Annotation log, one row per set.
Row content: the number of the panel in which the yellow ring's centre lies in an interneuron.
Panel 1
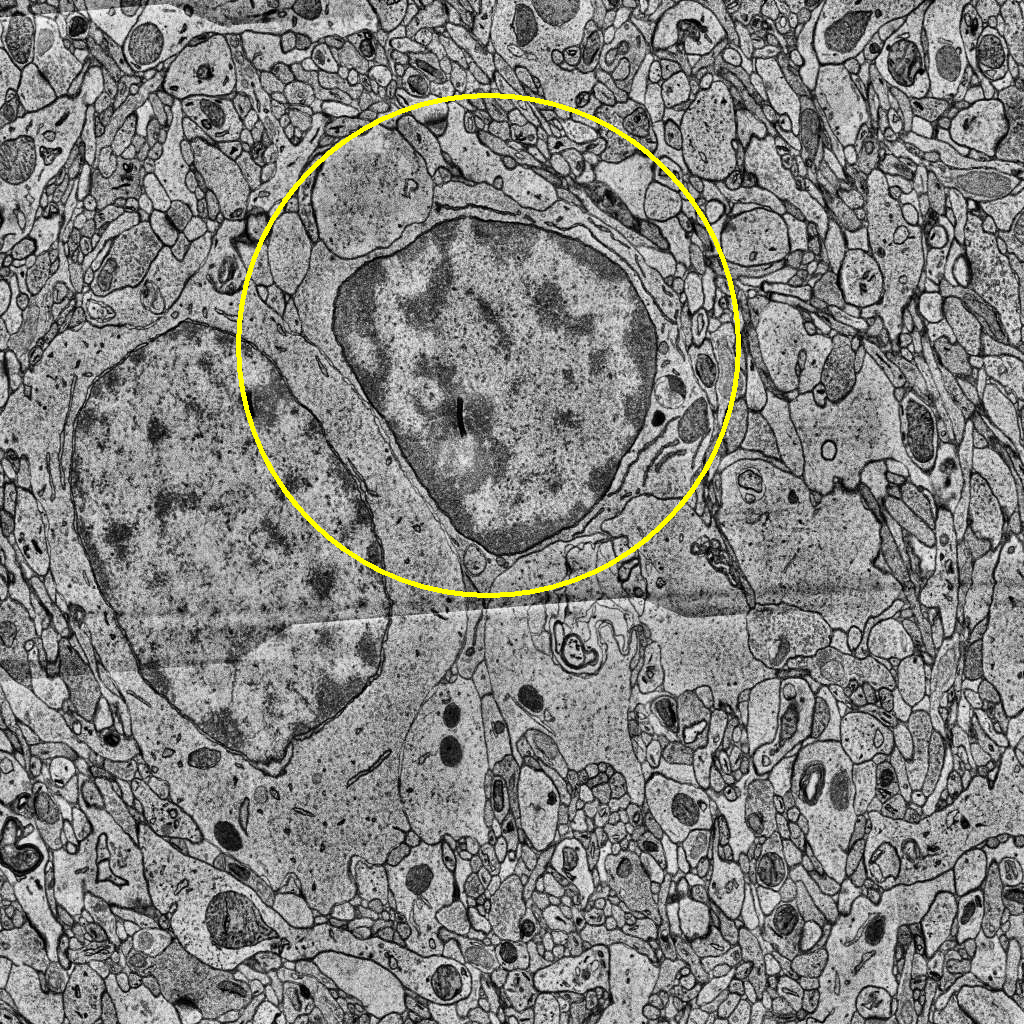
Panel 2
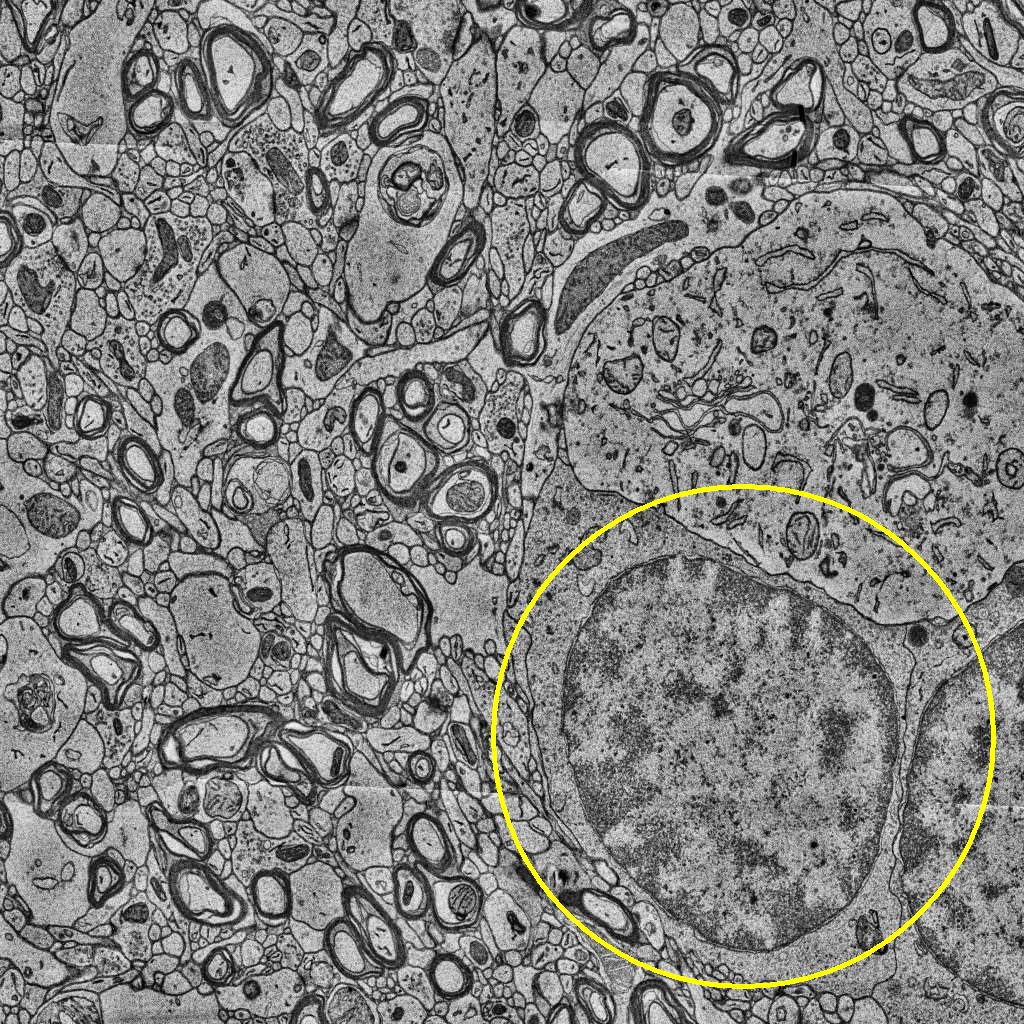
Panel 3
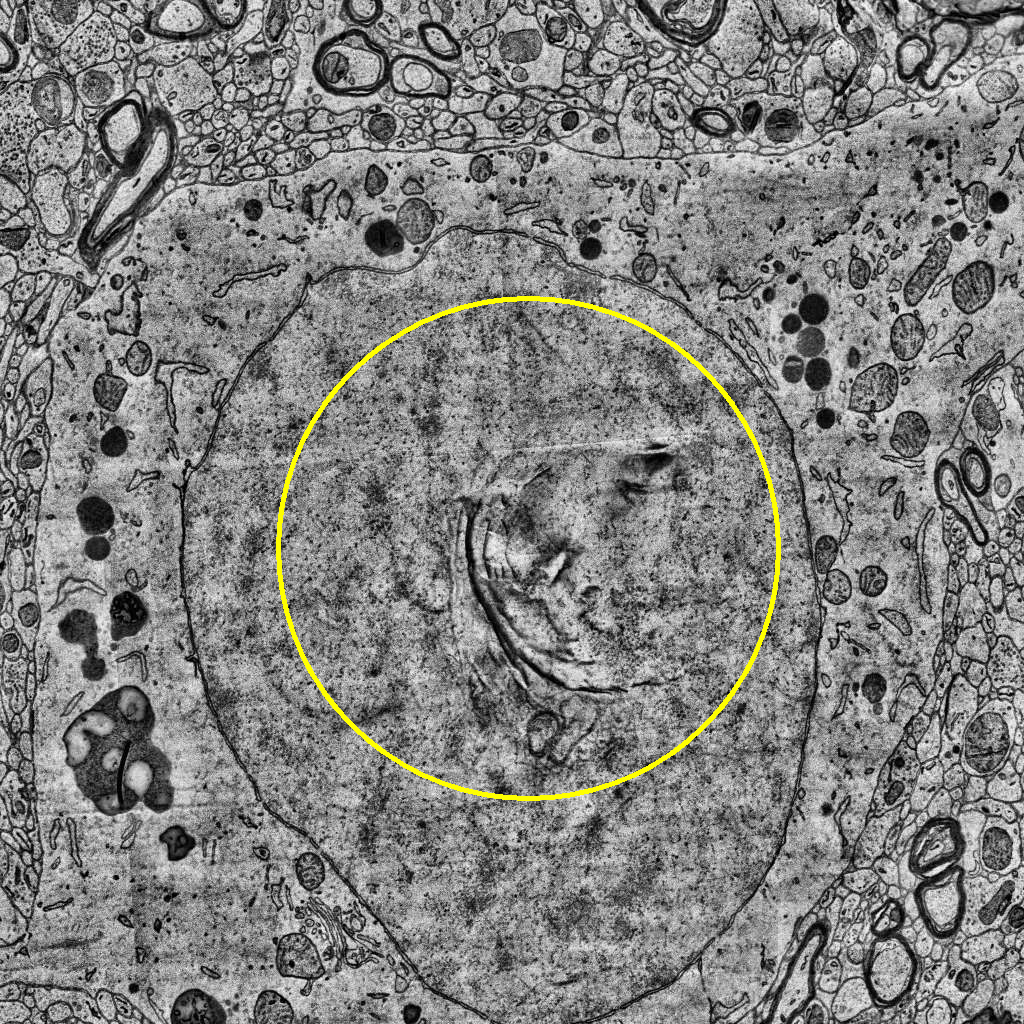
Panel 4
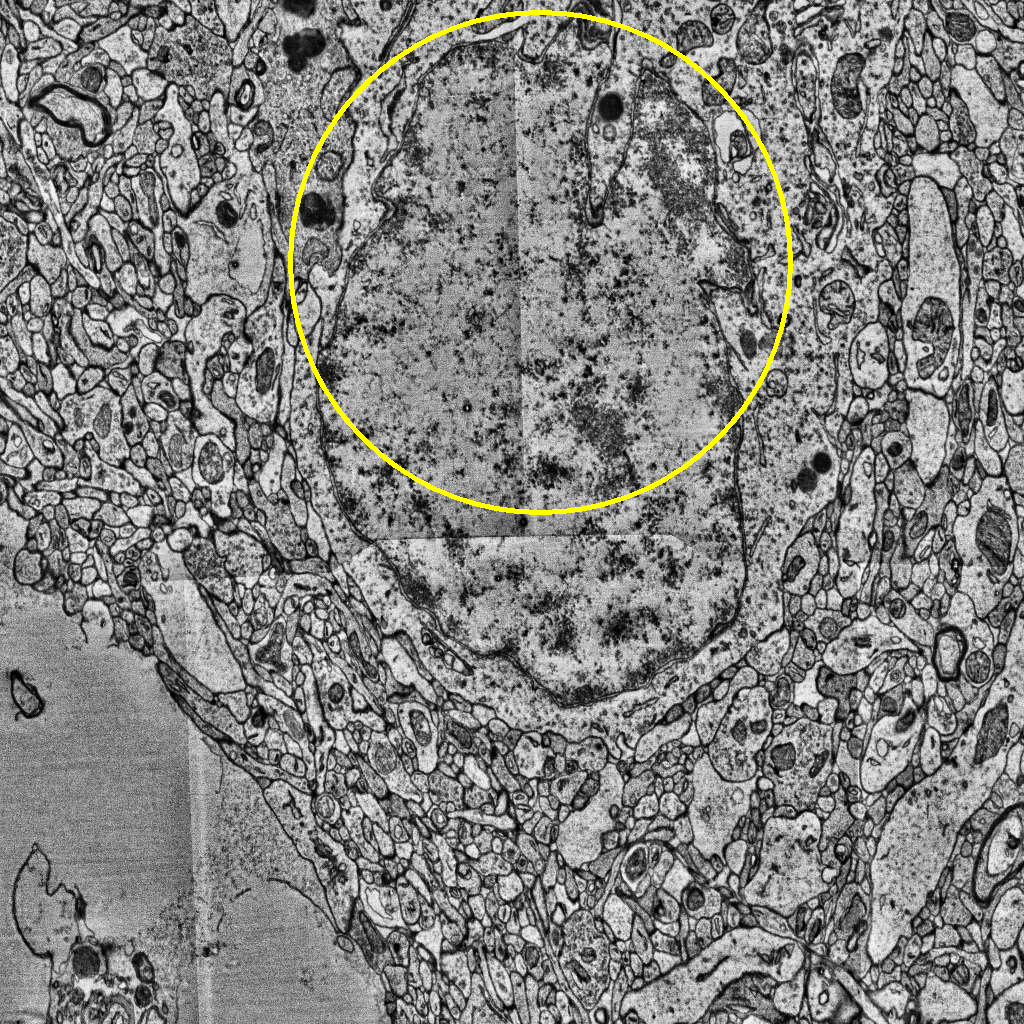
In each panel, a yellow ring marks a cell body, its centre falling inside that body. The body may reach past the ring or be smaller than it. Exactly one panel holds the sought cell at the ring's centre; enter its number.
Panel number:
4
